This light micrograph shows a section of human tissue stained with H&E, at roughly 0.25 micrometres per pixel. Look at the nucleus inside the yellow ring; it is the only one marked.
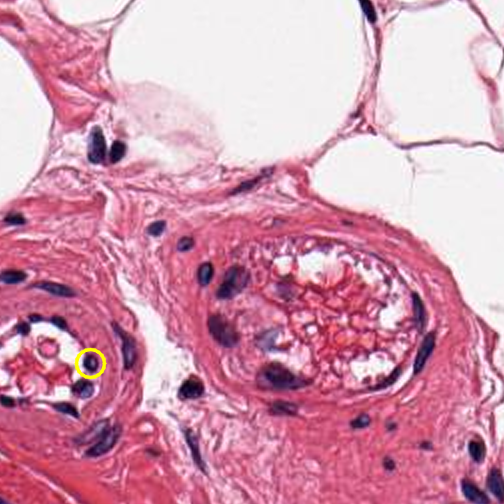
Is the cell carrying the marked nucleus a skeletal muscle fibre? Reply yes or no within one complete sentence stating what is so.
No, the marked nucleus is that of a supporting cell instead of a skeletal muscle fibre.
